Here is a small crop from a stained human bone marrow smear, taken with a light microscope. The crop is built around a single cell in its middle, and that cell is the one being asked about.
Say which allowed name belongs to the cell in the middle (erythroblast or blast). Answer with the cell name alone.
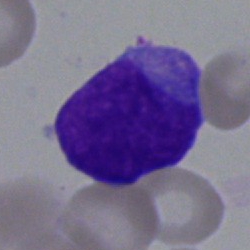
blast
